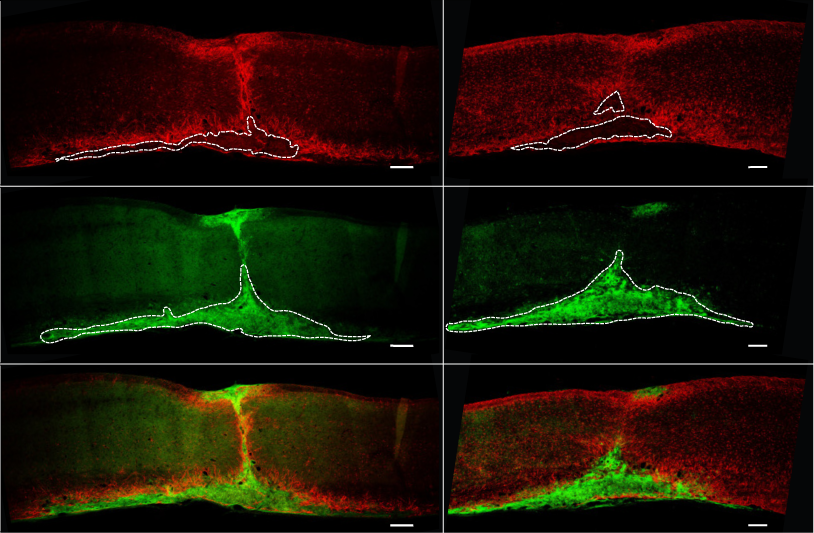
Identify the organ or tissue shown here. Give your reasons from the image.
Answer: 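Long strip-shaped longitudinal sections of neural tissue. A band of tissue runs along the lower edge beneath a broader upper zone.
Spinal cord.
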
